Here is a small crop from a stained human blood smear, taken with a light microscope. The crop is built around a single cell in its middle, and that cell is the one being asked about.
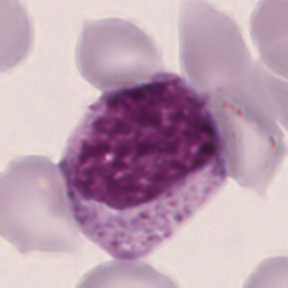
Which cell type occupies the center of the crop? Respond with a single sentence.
The cell that lies at the centre of the crop is a myelocyte.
